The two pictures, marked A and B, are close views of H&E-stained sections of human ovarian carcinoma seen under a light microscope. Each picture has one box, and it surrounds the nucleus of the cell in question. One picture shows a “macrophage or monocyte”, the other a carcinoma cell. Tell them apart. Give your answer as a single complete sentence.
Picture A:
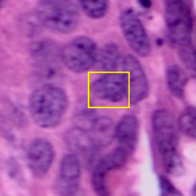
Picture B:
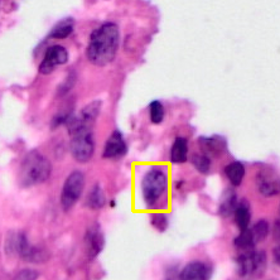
In picture A the cell is a carcinoma cell; in picture B, a “macrophage or monocyte”.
